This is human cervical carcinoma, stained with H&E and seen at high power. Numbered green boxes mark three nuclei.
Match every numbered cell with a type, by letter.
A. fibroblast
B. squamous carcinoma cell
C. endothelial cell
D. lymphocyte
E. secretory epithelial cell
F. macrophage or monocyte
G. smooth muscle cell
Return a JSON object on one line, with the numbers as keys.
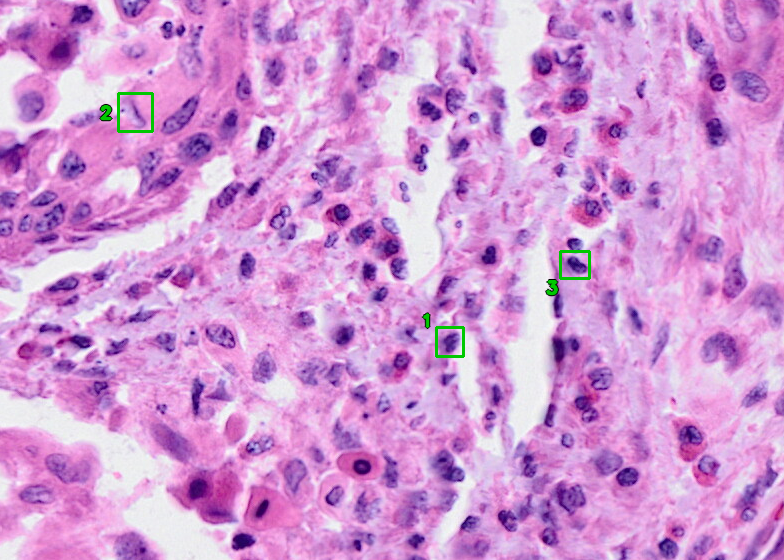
{"1": "D", "2": "B", "3": "D"}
